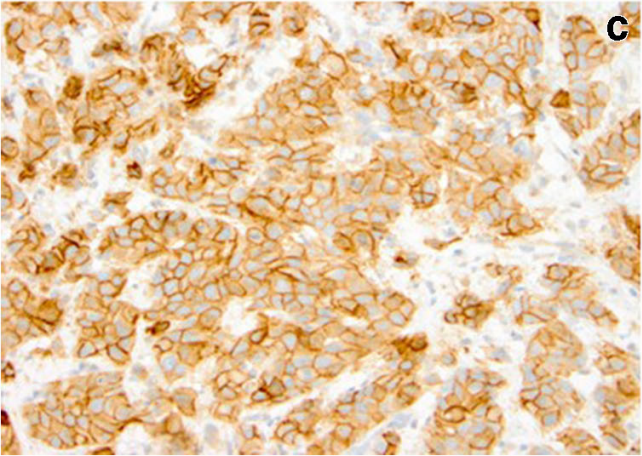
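Sheets and nests of large polygonal carcinoma cells fill the field, separated by narrow pale strands of stroma. Almost every tumour cell is rimmed by a crisp brown line along its membrane, giving a chicken-wire pattern, with some fainter brown in the cytoplasm. The stroma between the nests holds few stained cells, so the brown staining belongs to the tumour cells themselves.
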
